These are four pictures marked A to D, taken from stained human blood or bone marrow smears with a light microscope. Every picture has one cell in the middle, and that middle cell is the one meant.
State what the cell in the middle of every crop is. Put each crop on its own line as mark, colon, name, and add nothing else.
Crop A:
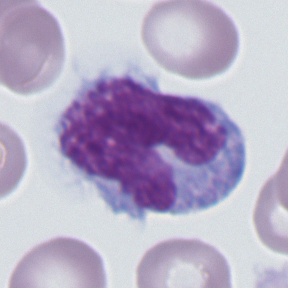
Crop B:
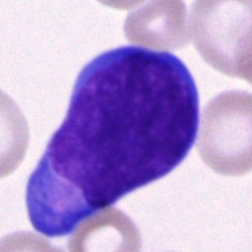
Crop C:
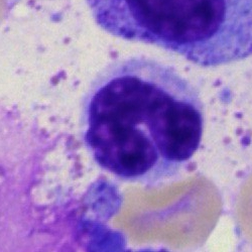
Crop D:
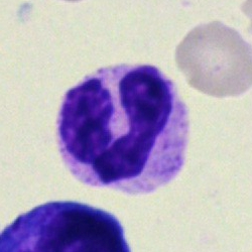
A: monocyte
B: blast
C: band neutrophil
D: band neutrophil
